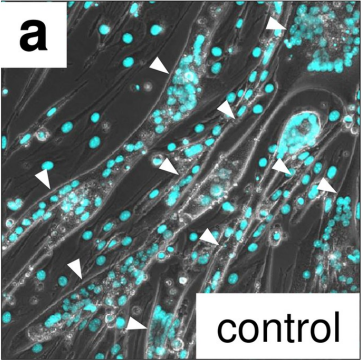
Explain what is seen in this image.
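This culture of differentiating muscle cells shows numerous myotubes, broad elongated multinucleated cell bodies marked by arrowheads, each containing clusters or rows of many cyan nuclei. The myotubes run roughly in parallel diagonally across the field, and some form large bulging masses packed with nuclei. Between them lie many spindle-shaped mononuclear cells with single oval nuclei, and some rounded bright cells rest on top of the layer.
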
